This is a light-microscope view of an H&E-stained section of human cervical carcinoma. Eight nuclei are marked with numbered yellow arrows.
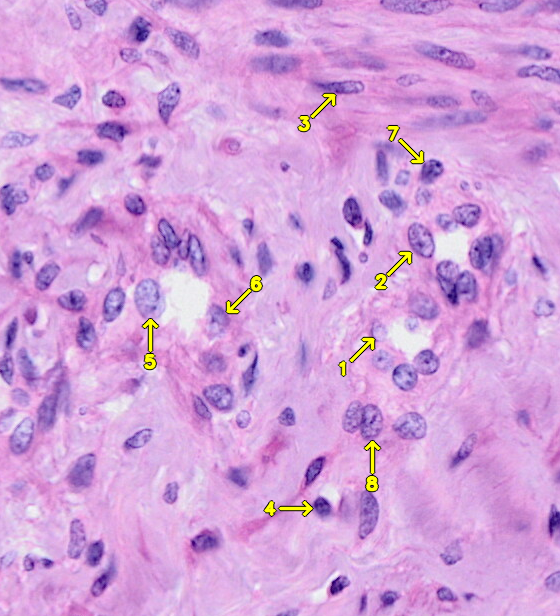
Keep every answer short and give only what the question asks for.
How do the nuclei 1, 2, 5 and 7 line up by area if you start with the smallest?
1, 7, 2, 5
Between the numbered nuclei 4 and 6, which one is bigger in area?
6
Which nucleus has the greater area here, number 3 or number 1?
3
